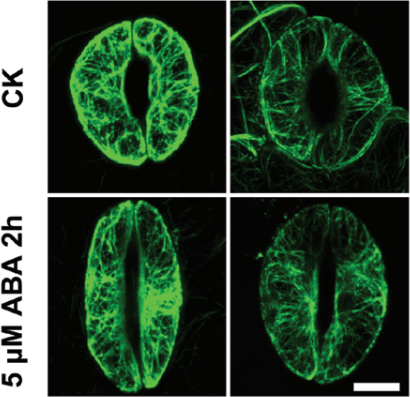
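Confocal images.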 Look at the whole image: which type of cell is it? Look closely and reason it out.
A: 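Each image shows a pair of kidney-shaped cells facing each other. A central slit-like pore lies between the paired cells. The paired cells form an oval outline.
Guard cells.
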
